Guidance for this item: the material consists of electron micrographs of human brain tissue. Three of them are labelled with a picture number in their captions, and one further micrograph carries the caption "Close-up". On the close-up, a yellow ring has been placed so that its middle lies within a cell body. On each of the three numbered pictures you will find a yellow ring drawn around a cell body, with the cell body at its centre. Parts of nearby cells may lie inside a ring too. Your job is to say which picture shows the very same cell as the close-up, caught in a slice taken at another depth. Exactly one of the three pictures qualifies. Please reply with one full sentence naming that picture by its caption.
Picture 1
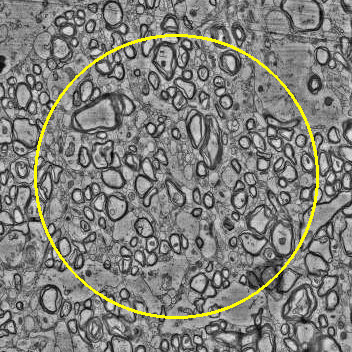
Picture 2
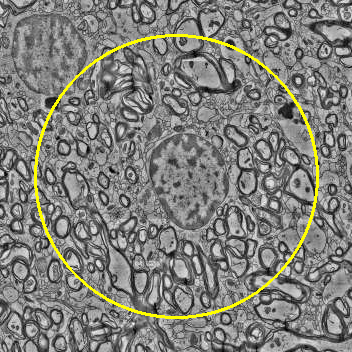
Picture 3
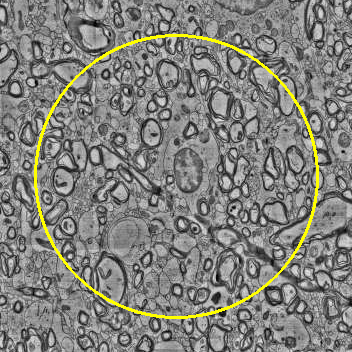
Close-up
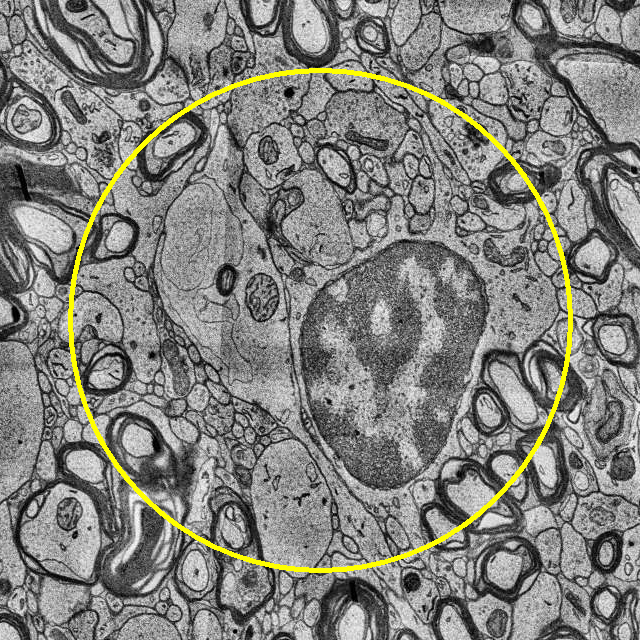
The cell ringed in Picture 2 is the one shown up close.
